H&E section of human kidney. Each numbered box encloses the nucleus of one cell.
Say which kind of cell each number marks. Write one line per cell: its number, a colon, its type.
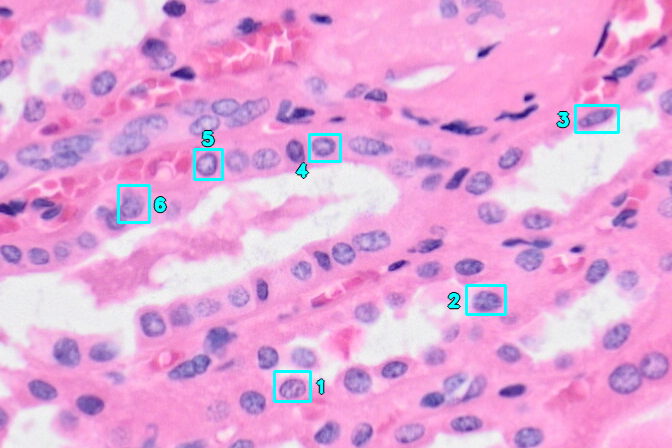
1: loop of Henle or distal tubule cell
2: loop of Henle or distal tubule cell
3: loop of Henle or distal tubule cell
4: collecting duct cell
5: collecting duct cell
6: collecting duct cell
